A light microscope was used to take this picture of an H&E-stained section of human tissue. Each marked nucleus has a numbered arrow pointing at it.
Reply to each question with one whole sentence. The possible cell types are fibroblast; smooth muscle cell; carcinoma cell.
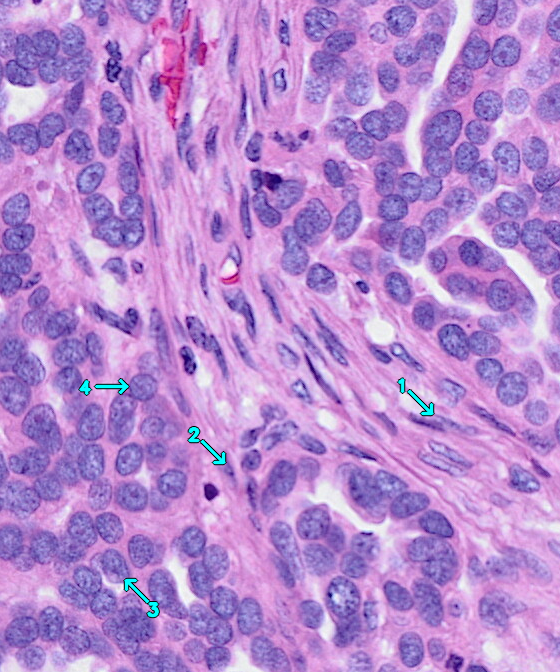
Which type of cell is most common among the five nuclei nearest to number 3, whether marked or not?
Of the five nuclei nearest to number 3, most belong to carcinoma cells.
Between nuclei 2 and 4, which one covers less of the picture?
With nucleus 4 about 4 times its size, nucleus 2 is the smaller of the two.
